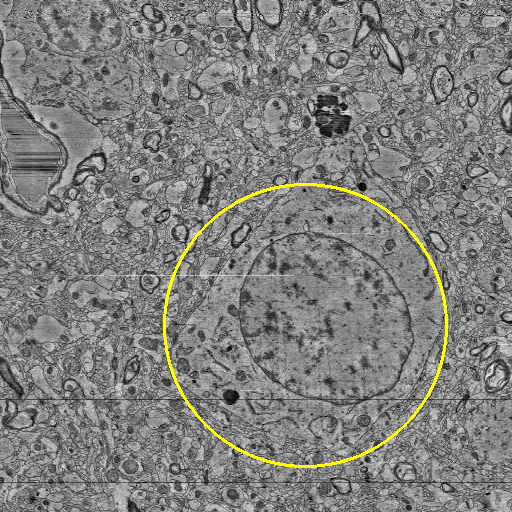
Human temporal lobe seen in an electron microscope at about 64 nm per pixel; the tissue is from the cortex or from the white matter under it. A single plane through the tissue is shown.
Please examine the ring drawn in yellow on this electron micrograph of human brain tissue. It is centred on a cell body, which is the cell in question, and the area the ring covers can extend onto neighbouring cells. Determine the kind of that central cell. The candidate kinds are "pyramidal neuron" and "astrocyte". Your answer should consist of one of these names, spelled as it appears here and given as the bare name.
pyramidal neuron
